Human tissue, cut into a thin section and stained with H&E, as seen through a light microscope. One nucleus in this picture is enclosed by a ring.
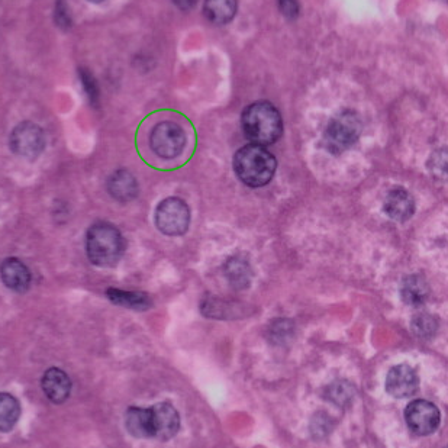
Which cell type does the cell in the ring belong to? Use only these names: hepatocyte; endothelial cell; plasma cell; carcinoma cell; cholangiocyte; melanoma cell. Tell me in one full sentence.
It is as a hepatocyte that the cell in the ring is classified.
